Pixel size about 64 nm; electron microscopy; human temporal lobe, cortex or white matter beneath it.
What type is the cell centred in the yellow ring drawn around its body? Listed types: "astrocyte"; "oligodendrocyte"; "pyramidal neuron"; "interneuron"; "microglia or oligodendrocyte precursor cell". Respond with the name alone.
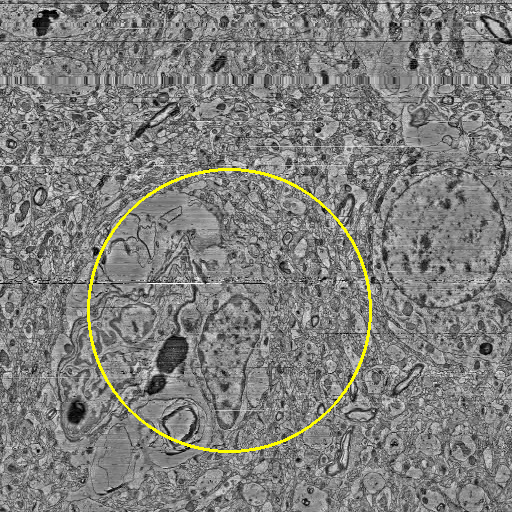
microglia or oligodendrocyte precursor cell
